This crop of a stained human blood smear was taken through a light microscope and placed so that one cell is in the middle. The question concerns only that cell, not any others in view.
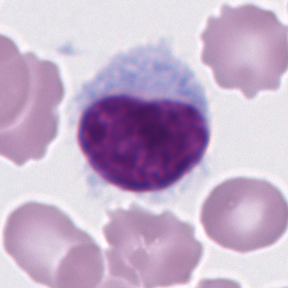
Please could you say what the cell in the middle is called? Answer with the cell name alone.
hairy cell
